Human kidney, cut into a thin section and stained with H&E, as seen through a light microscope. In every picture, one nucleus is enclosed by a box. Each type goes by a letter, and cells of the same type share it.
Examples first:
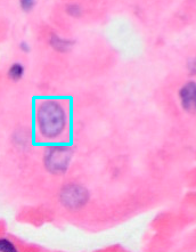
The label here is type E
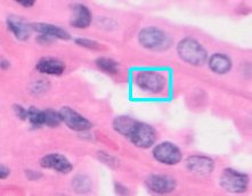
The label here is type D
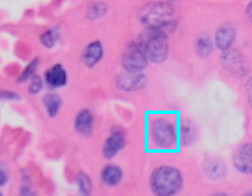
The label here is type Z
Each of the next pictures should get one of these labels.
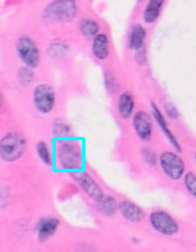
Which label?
type Z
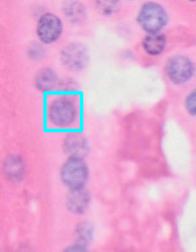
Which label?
type Z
